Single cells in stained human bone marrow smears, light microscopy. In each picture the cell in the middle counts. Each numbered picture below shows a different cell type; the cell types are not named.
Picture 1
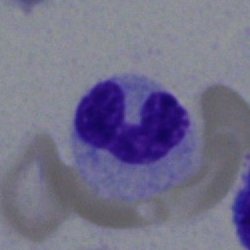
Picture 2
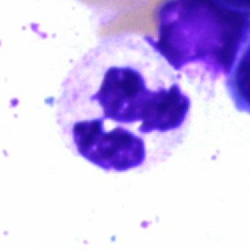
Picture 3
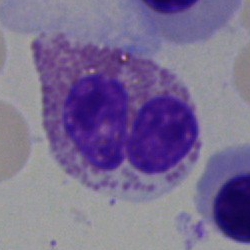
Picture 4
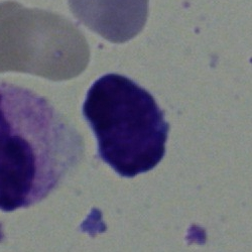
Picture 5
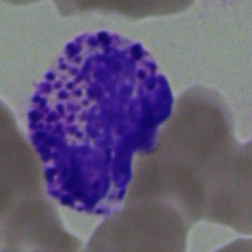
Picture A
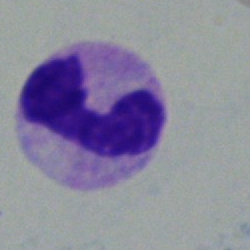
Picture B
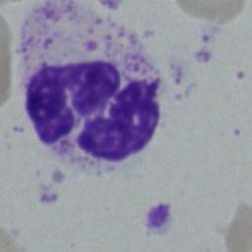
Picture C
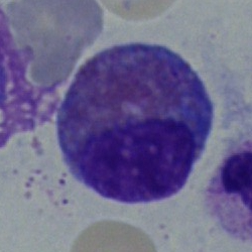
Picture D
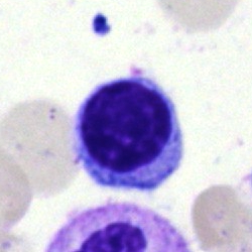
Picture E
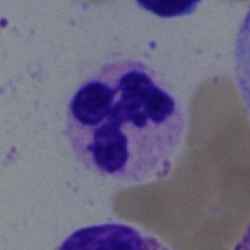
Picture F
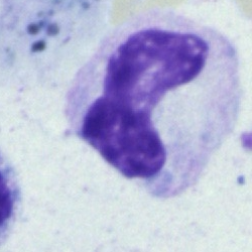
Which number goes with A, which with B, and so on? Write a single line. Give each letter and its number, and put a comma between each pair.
A 1, B 5, C 3, D 4, E 2, F 1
